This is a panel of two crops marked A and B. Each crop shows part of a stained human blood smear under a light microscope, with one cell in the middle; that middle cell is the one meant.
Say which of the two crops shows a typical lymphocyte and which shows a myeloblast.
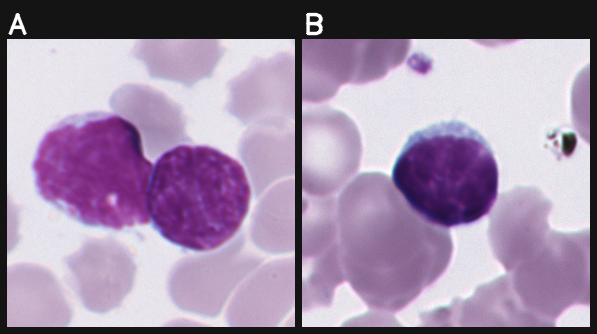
A: myeloblast
B: typical lymphocyte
